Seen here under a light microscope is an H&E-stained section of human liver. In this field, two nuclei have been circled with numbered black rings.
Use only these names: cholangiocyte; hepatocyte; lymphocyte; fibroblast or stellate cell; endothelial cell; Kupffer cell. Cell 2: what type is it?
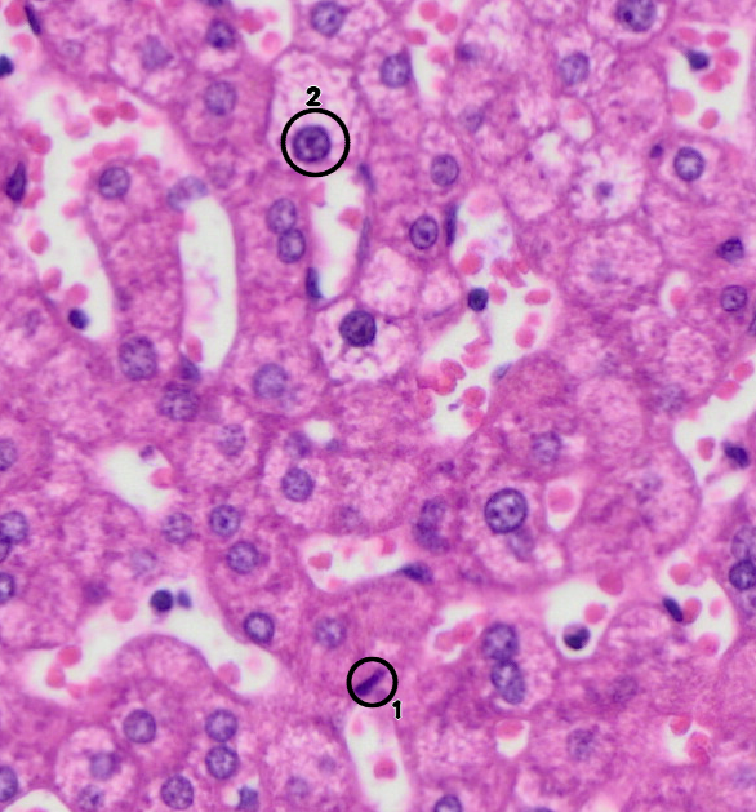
hepatocyte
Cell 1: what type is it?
fibroblast or stellate cell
